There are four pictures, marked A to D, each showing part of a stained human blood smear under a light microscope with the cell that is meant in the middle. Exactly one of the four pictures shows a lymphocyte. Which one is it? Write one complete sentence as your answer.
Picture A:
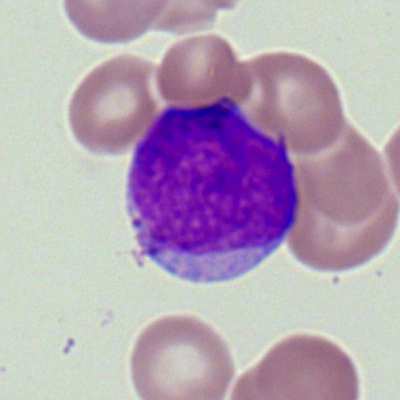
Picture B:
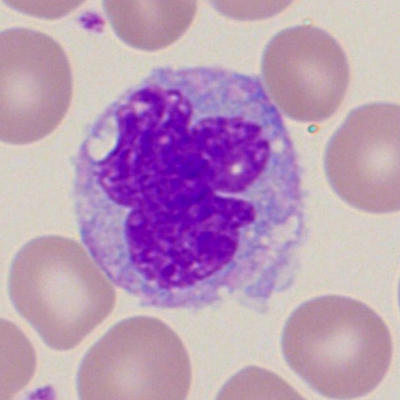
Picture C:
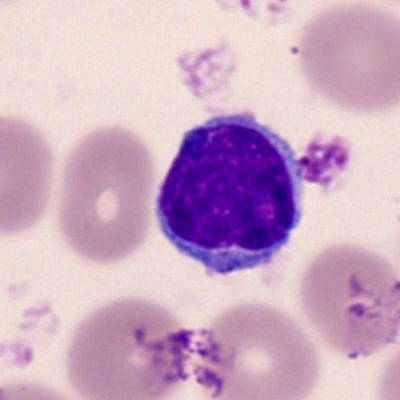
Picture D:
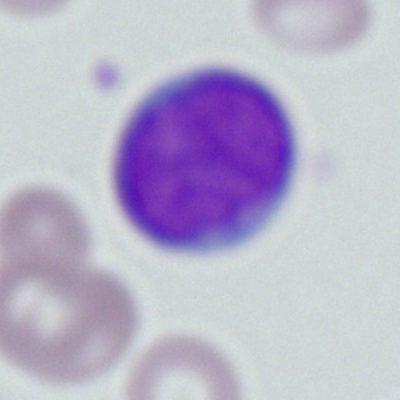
The cell in picture C is the lymphocyte.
